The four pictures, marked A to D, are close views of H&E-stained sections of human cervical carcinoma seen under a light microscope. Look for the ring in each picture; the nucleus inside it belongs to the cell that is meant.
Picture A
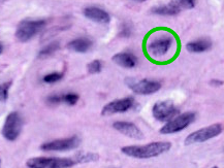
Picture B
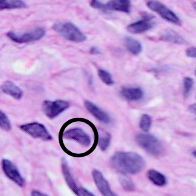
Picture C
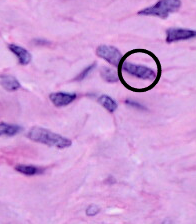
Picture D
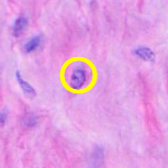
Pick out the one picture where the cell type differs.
D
